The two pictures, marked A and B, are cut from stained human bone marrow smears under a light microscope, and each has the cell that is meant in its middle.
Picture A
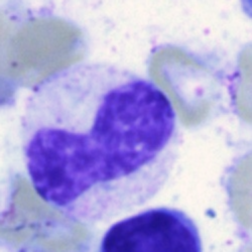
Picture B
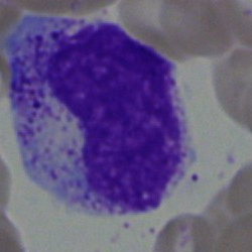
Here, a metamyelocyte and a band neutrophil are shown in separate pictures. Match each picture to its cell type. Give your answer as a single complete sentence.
In picture A the cell is a band neutrophil; in picture B, a metamyelocyte.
